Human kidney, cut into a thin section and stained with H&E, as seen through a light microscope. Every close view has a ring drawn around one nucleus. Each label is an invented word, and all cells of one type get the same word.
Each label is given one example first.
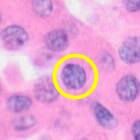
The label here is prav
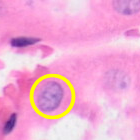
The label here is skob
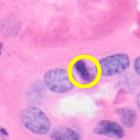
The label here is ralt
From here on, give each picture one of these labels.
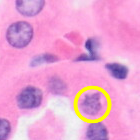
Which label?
prav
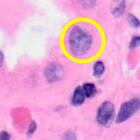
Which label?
prav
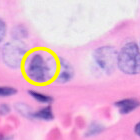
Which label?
ralt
